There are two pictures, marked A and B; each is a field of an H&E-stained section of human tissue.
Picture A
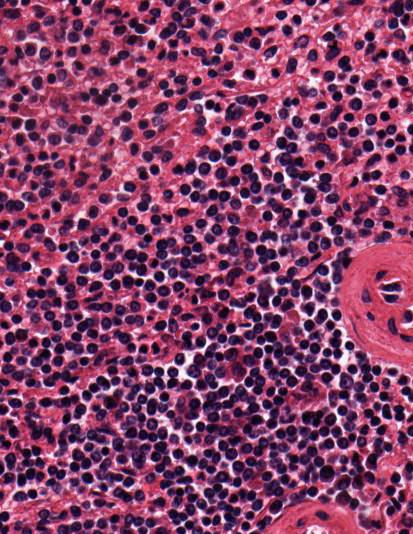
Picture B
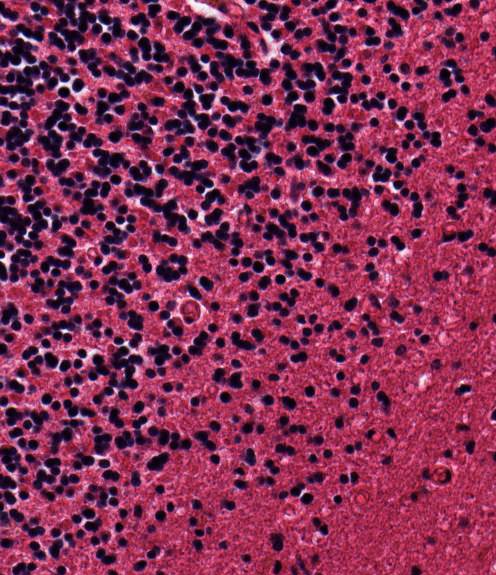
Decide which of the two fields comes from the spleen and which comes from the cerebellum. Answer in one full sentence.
Picture A comes from the spleen and picture B comes from the cerebellum.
